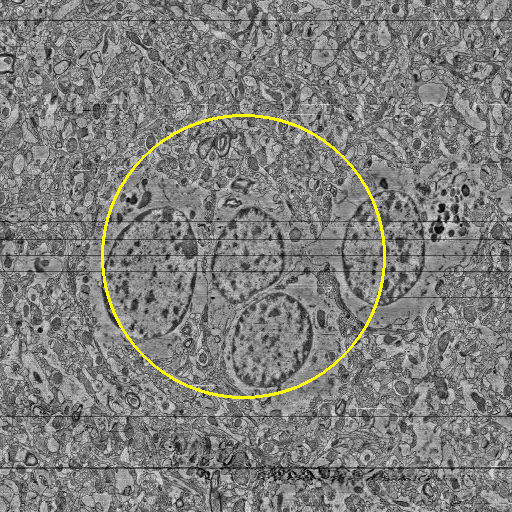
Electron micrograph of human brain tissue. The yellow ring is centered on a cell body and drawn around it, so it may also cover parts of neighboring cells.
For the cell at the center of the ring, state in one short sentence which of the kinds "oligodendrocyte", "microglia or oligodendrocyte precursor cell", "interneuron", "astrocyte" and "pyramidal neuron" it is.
This ring is centered on an astrocyte.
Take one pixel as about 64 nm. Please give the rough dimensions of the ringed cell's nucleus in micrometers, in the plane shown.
The nucleus measures about 6 by 5 micrometres in this plane.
